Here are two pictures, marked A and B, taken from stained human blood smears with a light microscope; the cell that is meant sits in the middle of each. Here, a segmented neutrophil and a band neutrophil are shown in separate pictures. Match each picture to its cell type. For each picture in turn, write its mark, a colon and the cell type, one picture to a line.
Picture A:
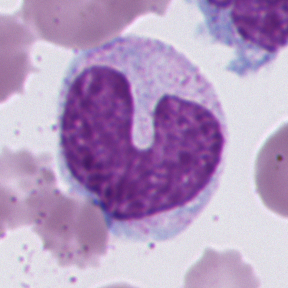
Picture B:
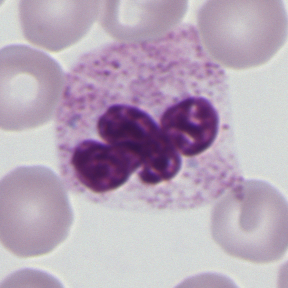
A: band neutrophil
B: segmented neutrophil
